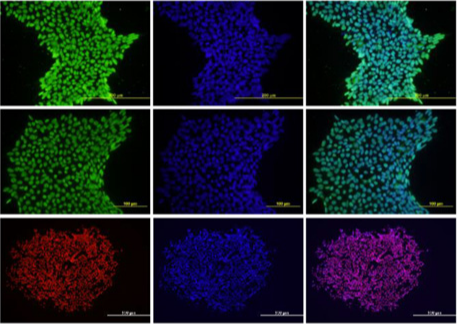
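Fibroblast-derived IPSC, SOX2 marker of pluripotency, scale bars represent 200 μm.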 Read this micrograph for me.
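These are colonies of small, tightly packed cells that grow as flat, compact clusters with fairly sharp edges. No cells with long processes or a spread, flattened shape are seen within the colonies.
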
